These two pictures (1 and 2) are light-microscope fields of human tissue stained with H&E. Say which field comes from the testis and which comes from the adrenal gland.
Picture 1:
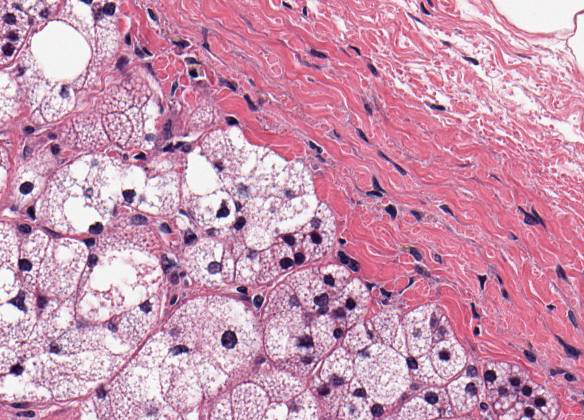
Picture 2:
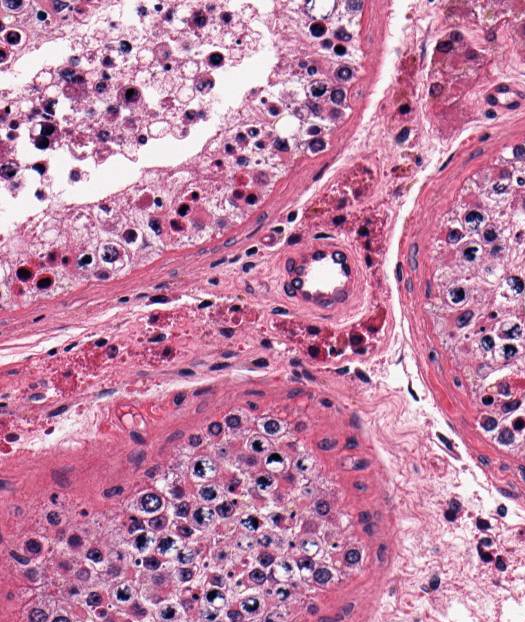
1: adrenal gland
2: testis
